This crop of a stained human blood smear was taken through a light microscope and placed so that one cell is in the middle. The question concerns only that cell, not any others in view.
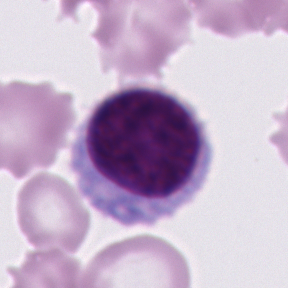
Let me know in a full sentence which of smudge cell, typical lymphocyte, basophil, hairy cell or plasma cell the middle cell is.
Occupying the centre of the crop is a hairy cell.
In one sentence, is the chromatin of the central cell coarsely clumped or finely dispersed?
Its chromatin is clumped in a coarse pattern.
